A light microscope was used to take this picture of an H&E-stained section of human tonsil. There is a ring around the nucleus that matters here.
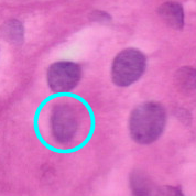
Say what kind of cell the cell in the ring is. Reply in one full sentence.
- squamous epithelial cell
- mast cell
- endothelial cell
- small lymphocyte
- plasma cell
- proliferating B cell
Considered by cell type, the cell in the ring is a squamous epithelial cell.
